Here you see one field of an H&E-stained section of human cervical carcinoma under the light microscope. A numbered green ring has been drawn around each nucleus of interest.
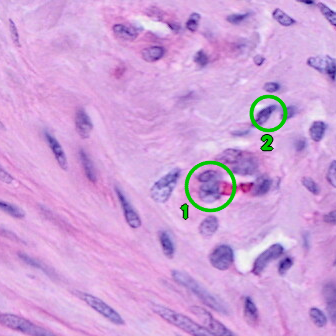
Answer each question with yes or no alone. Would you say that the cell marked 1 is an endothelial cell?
yes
